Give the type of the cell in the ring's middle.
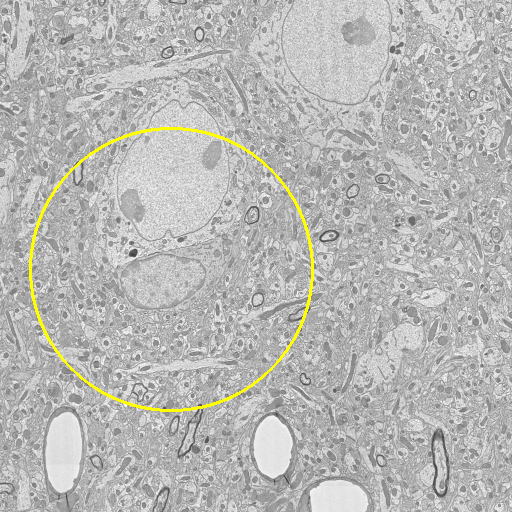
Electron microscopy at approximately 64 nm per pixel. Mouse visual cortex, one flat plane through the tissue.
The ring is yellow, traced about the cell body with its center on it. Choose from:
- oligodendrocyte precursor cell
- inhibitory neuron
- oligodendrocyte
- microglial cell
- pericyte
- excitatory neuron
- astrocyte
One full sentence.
Here, an oligodendrocyte is the cell lying at the center of the yellow ring.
